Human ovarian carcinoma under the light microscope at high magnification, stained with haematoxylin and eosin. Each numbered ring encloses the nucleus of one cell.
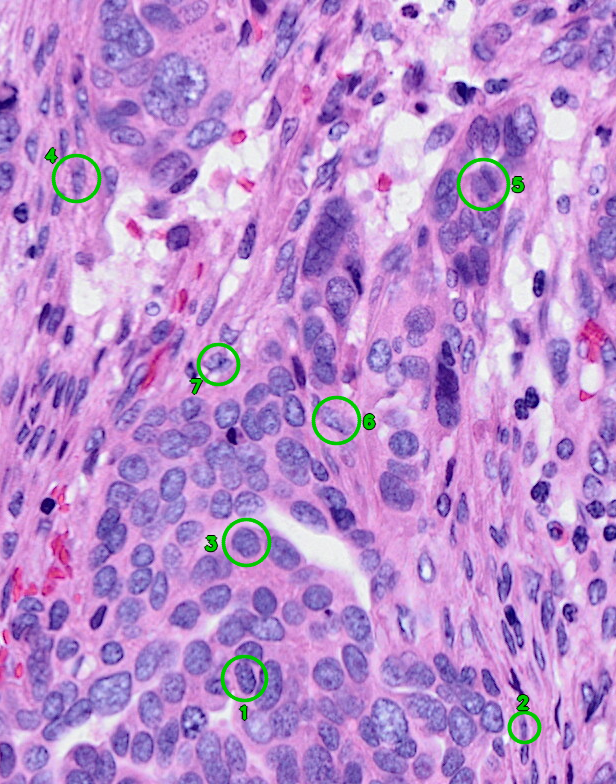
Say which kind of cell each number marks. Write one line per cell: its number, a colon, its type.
1: carcinoma cell
2: fibroblast
3: carcinoma cell
4: fibroblast
5: carcinoma cell
6: fibroblast
7: fibroblast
